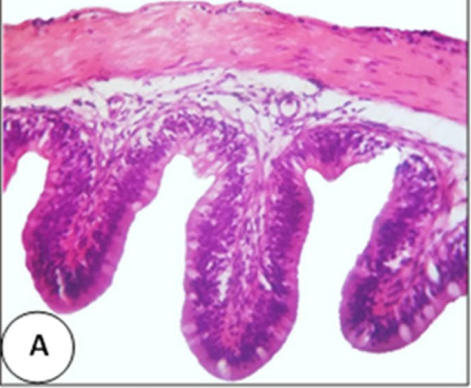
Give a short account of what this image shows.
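Section of intestinal wall with finger-like villi projecting into the lumen, covered by a tall columnar epithelium with densely packed, elongated purple nuclei and scattered pale, rounded goblet cells. Each villus has a narrow core of loose lamina propria, and a pink band of smooth muscle runs along the outer wall above the bases of the villi.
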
